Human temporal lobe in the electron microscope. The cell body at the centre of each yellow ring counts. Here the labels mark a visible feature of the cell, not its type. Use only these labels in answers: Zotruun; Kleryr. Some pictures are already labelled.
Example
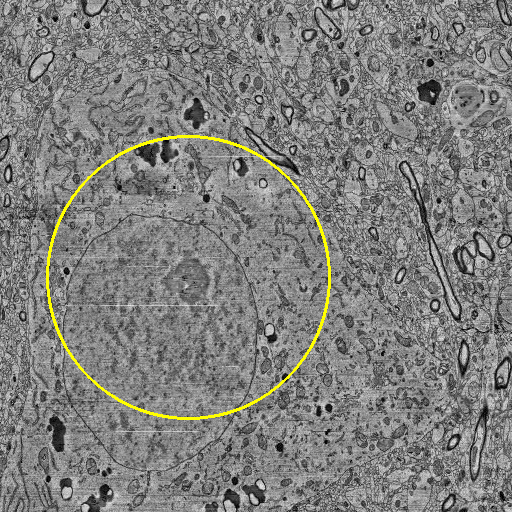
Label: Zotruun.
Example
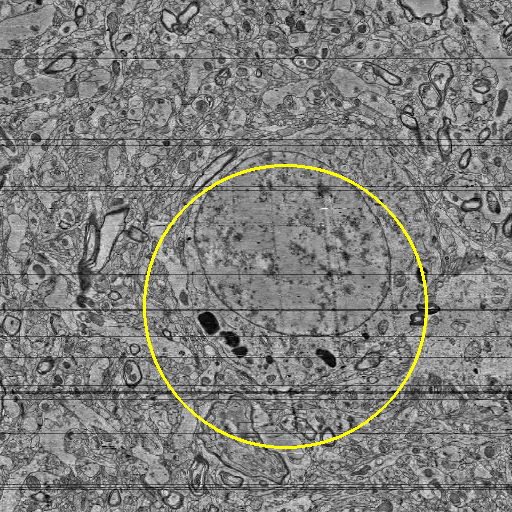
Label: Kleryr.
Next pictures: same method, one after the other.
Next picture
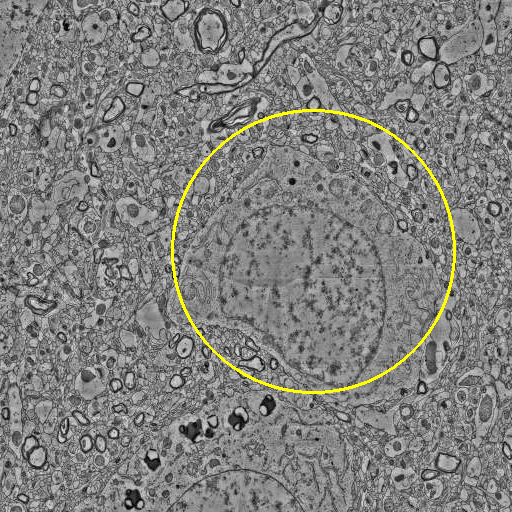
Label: Kleryr.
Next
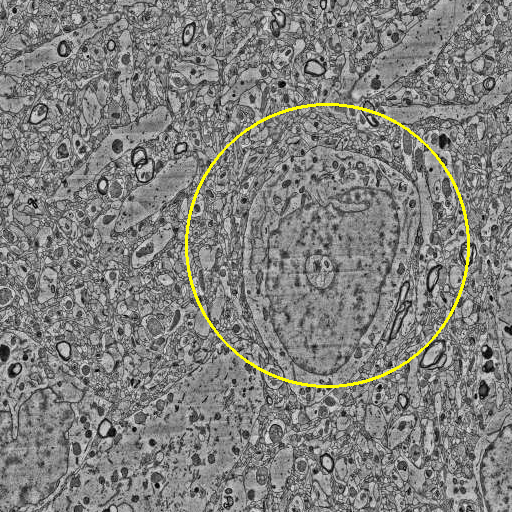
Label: Zotruun.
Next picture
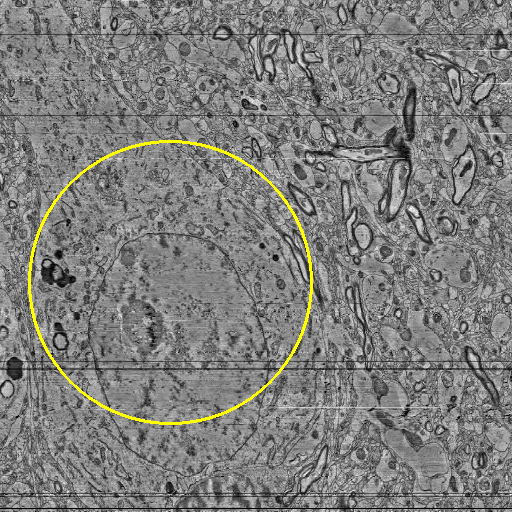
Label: Zotruun.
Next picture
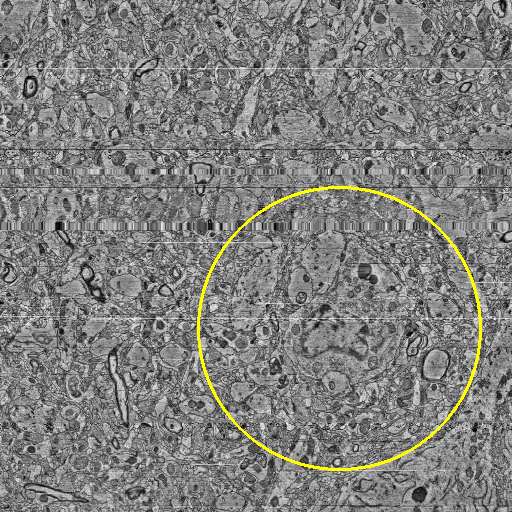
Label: Kleryr.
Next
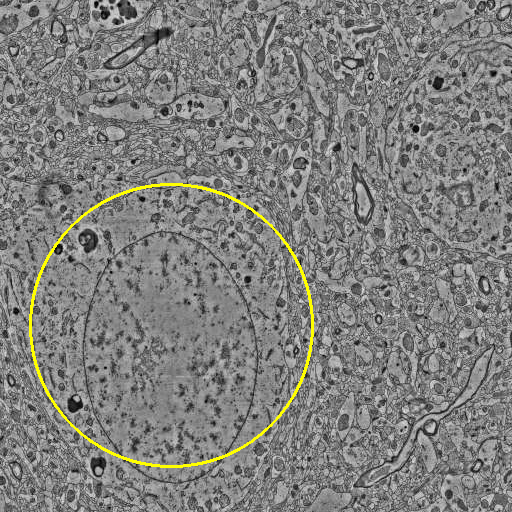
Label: Kleryr.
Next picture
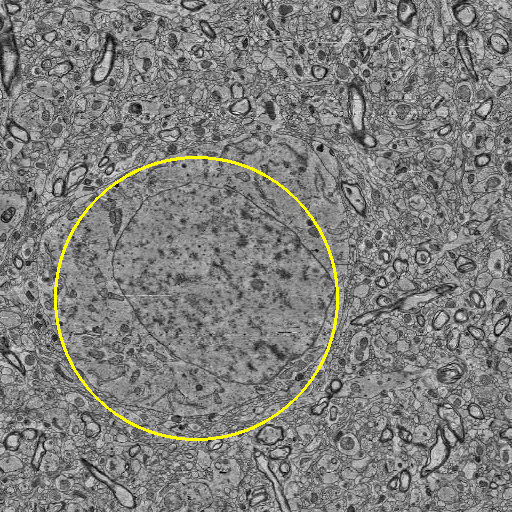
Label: Kleryr.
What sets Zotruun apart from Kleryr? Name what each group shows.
Zotruun: nucleolus seen; Kleryr: no nucleolus seen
